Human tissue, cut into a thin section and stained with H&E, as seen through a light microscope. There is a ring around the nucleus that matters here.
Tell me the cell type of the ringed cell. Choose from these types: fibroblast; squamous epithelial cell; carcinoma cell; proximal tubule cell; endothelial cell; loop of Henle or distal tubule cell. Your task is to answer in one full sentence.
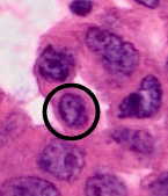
The correct response here is that the ringed cell is a carcinoma cell.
